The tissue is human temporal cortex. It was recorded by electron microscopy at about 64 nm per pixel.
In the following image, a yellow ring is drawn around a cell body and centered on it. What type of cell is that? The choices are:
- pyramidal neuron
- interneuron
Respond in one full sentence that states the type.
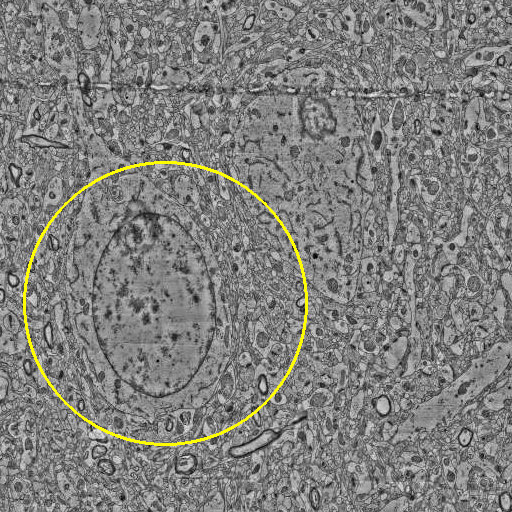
The cell at the center of the yellow ring in the image is a pyramidal neuron.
